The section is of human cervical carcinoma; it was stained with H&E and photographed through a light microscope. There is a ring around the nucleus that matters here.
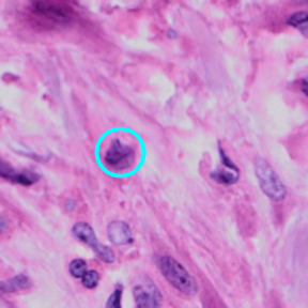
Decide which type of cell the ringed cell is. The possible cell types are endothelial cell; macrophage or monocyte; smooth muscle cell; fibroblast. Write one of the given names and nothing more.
macrophage or monocyte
